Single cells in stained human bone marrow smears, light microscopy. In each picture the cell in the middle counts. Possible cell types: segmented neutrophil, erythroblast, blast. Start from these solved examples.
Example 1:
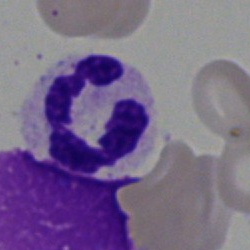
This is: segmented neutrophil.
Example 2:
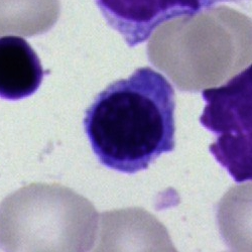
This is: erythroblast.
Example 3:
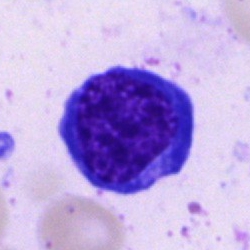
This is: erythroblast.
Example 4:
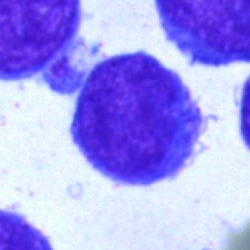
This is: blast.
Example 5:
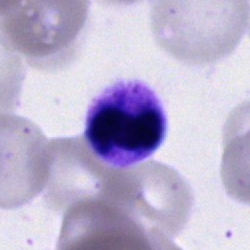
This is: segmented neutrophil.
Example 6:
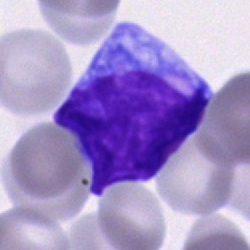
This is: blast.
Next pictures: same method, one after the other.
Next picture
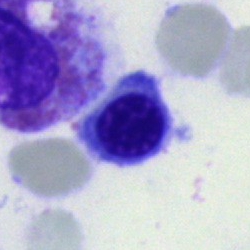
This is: erythroblast.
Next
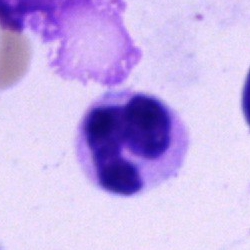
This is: segmented neutrophil.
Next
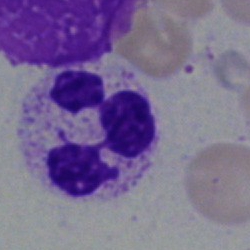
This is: segmented neutrophil.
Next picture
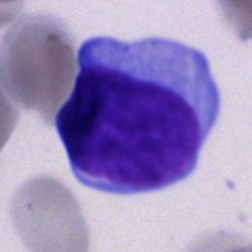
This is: blast.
